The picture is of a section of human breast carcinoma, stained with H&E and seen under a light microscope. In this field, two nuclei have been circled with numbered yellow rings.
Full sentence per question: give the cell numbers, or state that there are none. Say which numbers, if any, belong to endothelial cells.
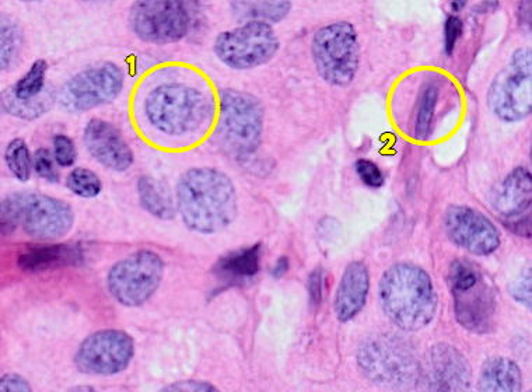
Across all the numbered cells, only number 2 is an endothelial cell.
